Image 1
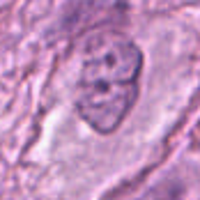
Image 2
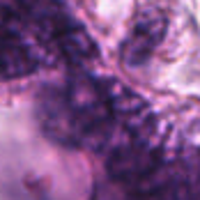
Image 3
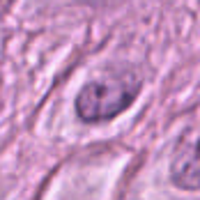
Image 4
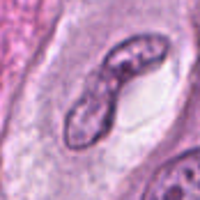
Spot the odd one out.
Picture 2 (a syncytial knot among maternal decidual cells).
